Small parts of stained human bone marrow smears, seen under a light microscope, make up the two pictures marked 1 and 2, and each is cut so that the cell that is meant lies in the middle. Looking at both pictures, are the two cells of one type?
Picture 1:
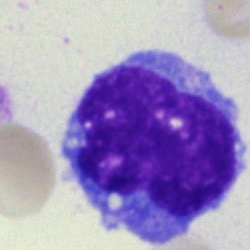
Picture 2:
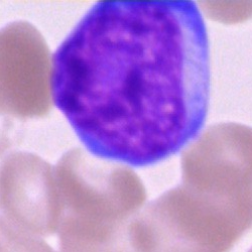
yes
